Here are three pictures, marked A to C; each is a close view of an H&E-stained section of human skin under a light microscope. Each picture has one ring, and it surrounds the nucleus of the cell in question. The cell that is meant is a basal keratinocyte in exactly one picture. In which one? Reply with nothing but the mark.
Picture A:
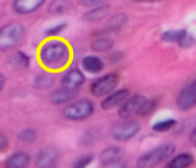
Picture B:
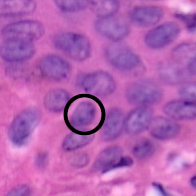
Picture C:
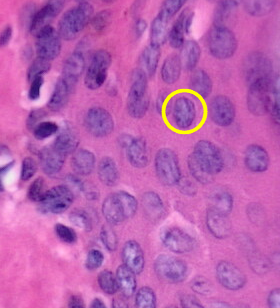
B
